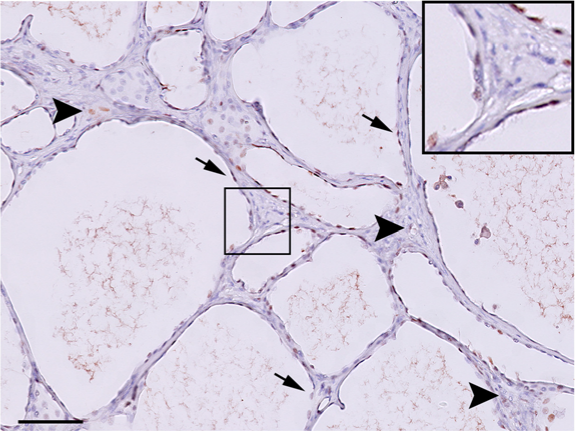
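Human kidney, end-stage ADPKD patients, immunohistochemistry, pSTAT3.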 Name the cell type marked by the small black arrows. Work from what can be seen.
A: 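The arrows point to the thin cell layer lining the large empty cavities. The lining cells are flattened, with elongated nuclei along the wall.
Tubular epithelial cells.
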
